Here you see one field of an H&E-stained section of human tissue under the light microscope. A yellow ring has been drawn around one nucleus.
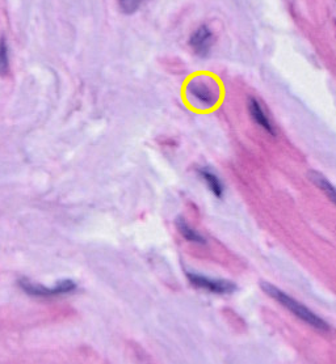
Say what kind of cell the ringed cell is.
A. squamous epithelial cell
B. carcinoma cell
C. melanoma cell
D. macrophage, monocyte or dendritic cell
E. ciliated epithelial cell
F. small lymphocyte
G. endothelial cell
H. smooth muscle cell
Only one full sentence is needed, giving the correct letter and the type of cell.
Identified correctly by option H, the ringed cell is a smooth muscle cell.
